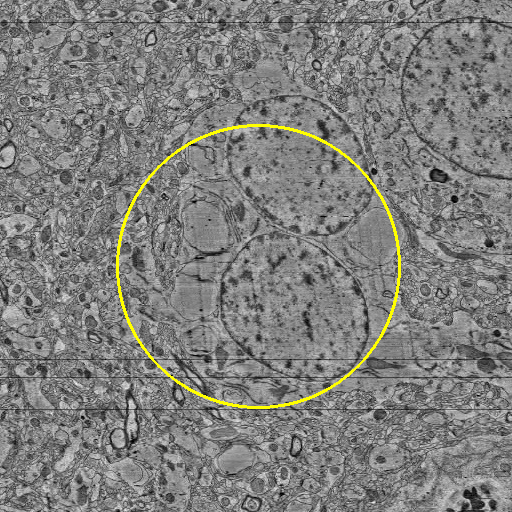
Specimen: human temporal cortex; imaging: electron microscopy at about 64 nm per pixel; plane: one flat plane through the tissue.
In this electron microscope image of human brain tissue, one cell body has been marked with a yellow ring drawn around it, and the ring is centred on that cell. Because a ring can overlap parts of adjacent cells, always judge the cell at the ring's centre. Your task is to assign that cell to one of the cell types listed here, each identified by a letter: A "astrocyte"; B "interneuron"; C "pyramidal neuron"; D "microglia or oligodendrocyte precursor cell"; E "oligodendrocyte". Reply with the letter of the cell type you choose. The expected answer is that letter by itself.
A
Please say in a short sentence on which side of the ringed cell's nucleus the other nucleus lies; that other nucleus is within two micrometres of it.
The other nucleus is situated above it.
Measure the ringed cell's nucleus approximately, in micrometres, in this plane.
Approximately 11 by 9 micrometers in this plane.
